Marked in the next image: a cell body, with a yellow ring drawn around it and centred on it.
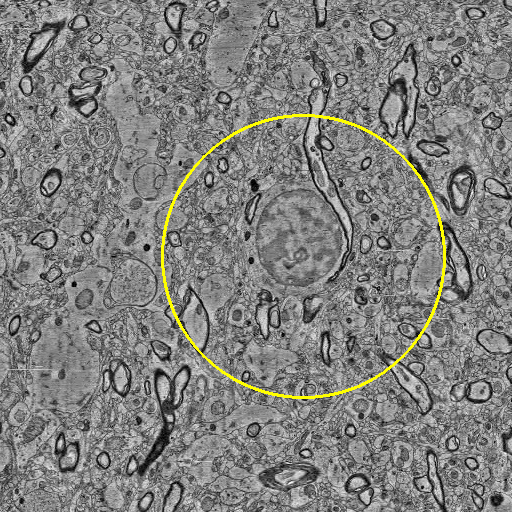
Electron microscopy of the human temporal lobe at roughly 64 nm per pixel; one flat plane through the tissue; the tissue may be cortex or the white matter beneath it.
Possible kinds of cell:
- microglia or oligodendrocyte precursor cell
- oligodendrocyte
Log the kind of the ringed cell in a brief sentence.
The ringed cell body is that of an oligodendrocyte.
